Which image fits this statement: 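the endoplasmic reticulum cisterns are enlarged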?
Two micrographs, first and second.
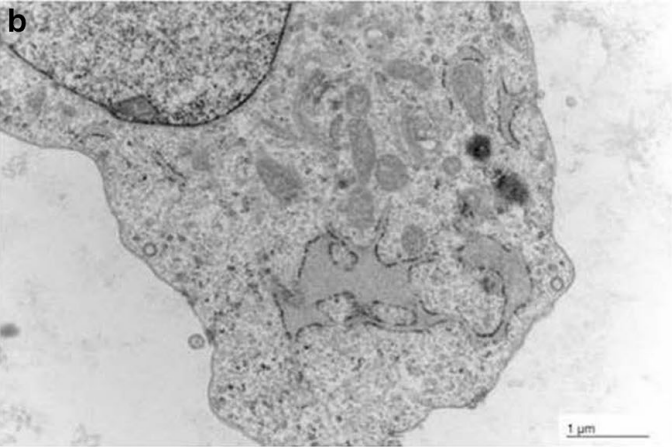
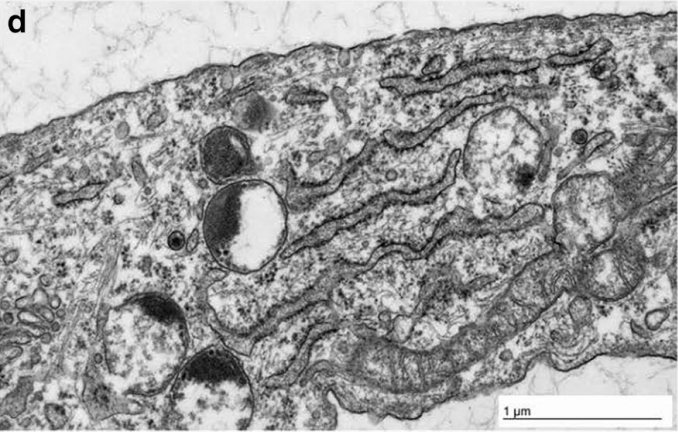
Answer: The first image.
